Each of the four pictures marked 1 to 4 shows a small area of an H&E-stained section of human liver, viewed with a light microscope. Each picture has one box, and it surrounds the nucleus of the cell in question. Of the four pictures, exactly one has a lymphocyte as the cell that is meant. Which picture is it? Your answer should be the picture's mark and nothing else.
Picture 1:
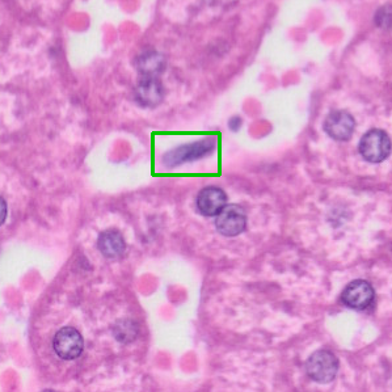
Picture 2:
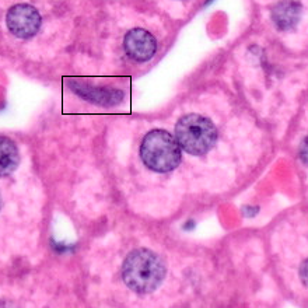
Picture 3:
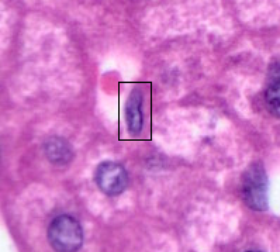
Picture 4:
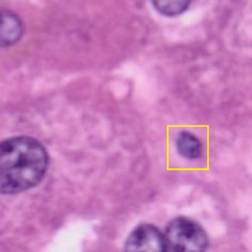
4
